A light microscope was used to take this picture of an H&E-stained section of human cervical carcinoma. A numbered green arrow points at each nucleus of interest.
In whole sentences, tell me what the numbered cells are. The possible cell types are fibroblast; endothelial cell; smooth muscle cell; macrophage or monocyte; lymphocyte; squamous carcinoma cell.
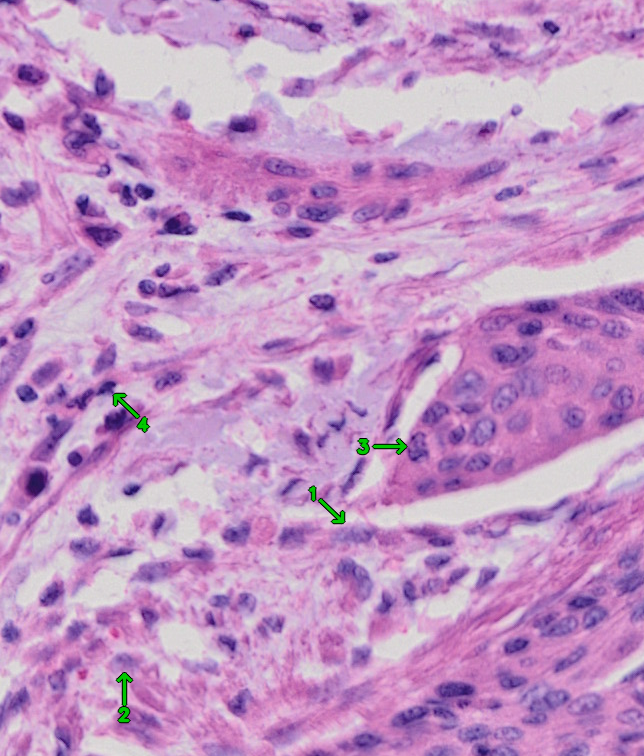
Cells 1 and 2 are fibroblasts. Cell 3 is a squamous carcinoma cell. Cell 4 is a lymphocyte.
